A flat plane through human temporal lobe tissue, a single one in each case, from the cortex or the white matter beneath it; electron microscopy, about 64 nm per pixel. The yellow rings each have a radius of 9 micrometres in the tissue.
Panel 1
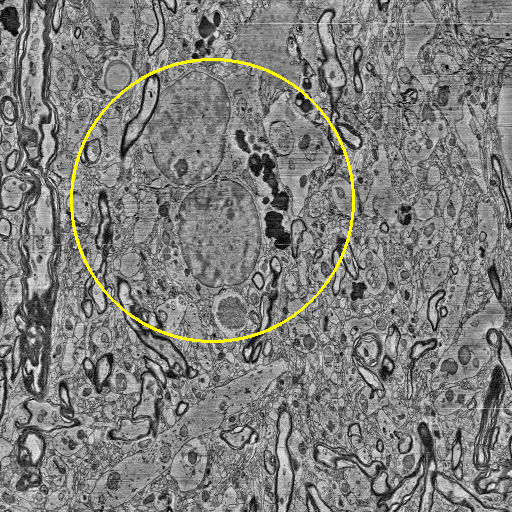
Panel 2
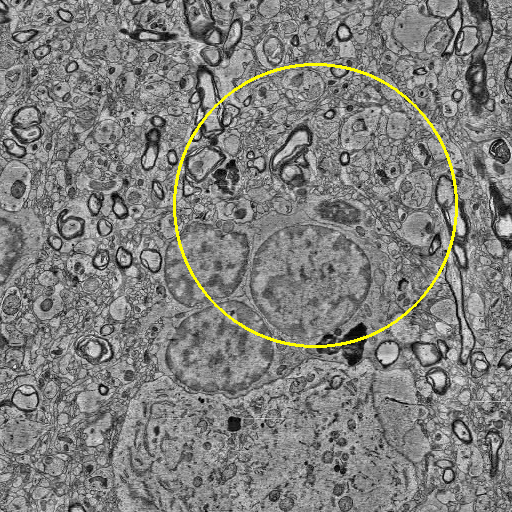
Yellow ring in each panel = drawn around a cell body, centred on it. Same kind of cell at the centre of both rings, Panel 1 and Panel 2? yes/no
yes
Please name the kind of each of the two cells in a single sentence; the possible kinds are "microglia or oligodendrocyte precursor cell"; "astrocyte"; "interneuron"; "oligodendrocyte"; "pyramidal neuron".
Both rings mark an oligodendrocyte, one in each picture.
